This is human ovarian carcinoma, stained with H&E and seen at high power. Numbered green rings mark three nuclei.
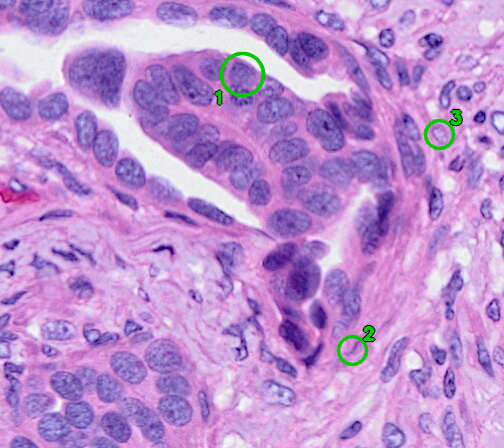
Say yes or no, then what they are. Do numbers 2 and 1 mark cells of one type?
No, the right answer is a fibroblast for cell 2 and a carcinoma cell for cell 1.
